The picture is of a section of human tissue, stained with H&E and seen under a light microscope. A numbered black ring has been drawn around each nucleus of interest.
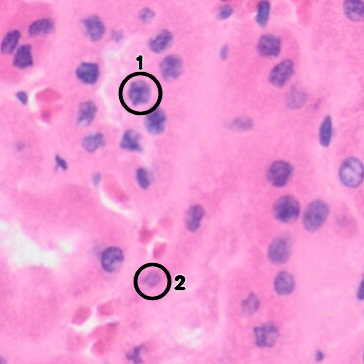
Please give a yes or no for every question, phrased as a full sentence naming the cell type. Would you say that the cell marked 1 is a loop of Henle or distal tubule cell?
Yes, the cell identified as number 1 is a loop of Henle or distal tubule cell.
